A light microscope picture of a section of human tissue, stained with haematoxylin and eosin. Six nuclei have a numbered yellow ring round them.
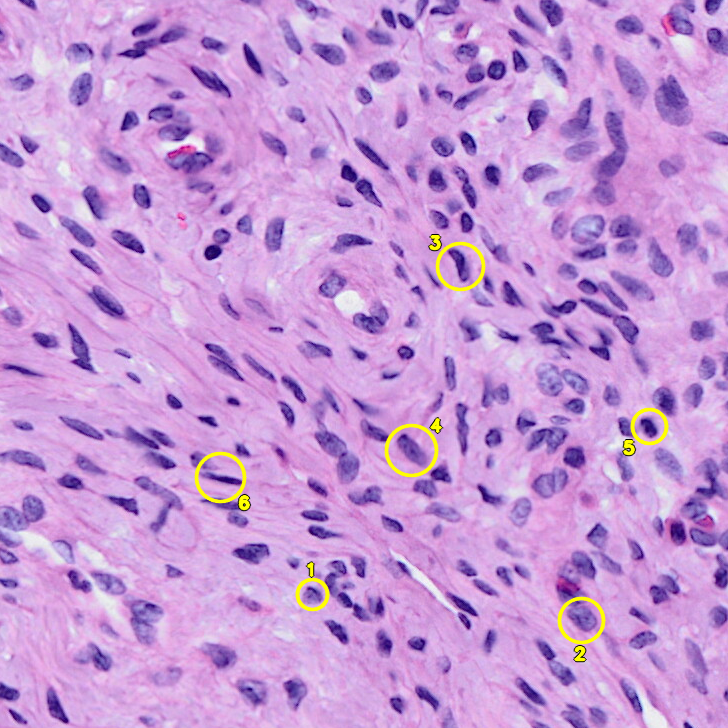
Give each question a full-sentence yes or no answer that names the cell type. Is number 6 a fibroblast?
Yes, the cell that has number 6 is a fibroblast.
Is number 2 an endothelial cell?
Yes, the numbered nucleus 2 is that of an endothelial cell.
